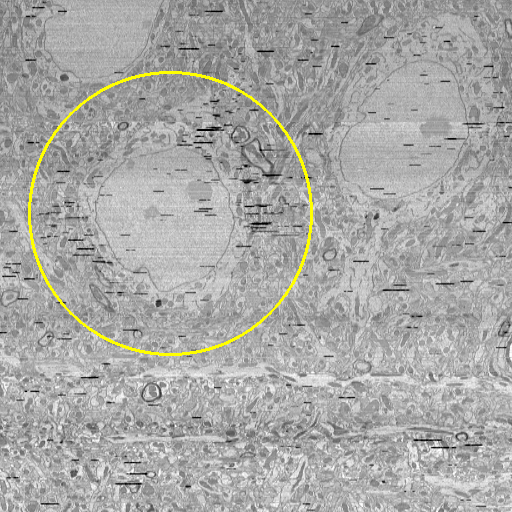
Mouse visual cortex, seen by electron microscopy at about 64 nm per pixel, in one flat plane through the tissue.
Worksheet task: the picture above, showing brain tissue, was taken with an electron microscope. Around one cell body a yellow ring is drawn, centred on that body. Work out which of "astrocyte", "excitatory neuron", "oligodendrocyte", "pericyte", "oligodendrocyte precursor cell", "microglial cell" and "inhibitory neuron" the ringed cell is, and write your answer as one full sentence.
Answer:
It is an excitatory neuron whose cell body lies at the centre of the yellow ring.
